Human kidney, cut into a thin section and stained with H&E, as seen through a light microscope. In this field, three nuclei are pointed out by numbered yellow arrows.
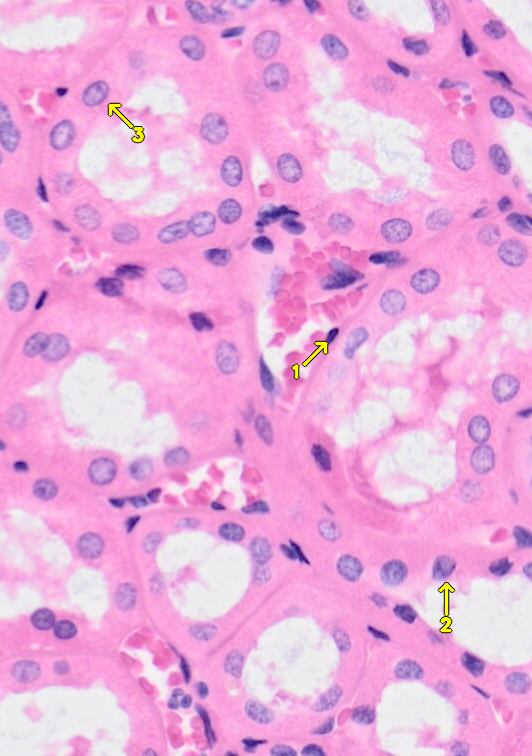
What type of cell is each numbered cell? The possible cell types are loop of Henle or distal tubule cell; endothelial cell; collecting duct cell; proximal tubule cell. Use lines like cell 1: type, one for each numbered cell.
cell 1: endothelial cell
cell 2: loop of Henle or distal tubule cell
cell 3: proximal tubule cell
